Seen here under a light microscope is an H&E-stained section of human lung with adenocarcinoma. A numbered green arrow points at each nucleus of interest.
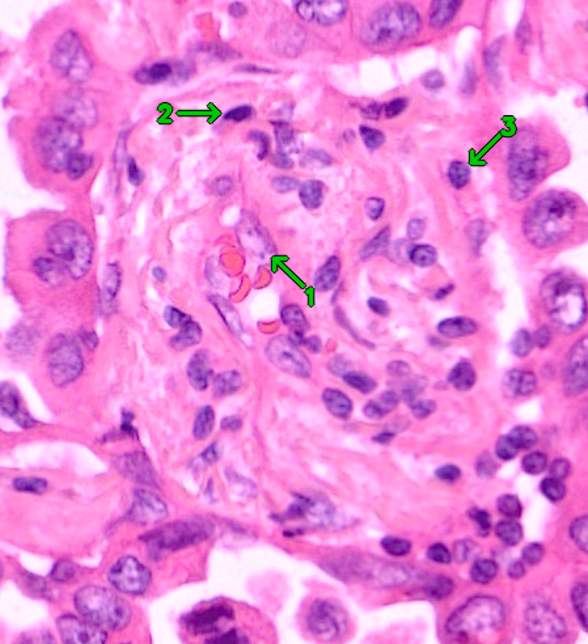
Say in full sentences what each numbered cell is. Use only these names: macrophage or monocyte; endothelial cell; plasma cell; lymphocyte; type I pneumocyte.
Cell 1 is an endothelial cell, cell 2 is a plasma cell and cell 3 is a lymphocyte.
